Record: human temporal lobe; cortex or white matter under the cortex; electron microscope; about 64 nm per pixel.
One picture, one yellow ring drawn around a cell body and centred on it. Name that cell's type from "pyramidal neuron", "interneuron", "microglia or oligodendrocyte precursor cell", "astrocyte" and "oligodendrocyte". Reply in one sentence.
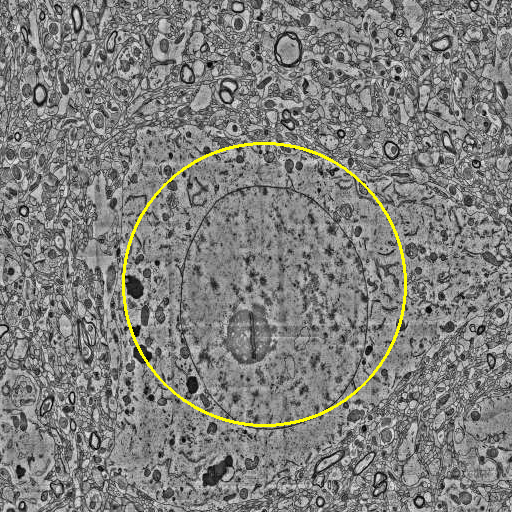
Centred in the ring is a pyramidal neuron.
